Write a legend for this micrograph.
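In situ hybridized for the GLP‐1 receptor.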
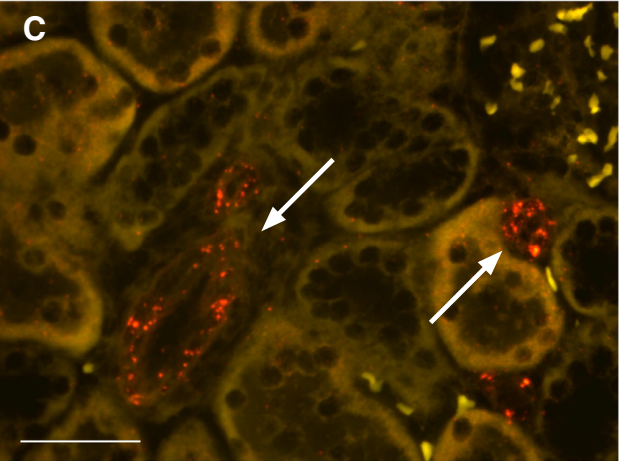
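Between the tubules, structures of the renal vasculature hold dense clusters of red dots. Small bright yellow red blood cells are scattered in the interstitium.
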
